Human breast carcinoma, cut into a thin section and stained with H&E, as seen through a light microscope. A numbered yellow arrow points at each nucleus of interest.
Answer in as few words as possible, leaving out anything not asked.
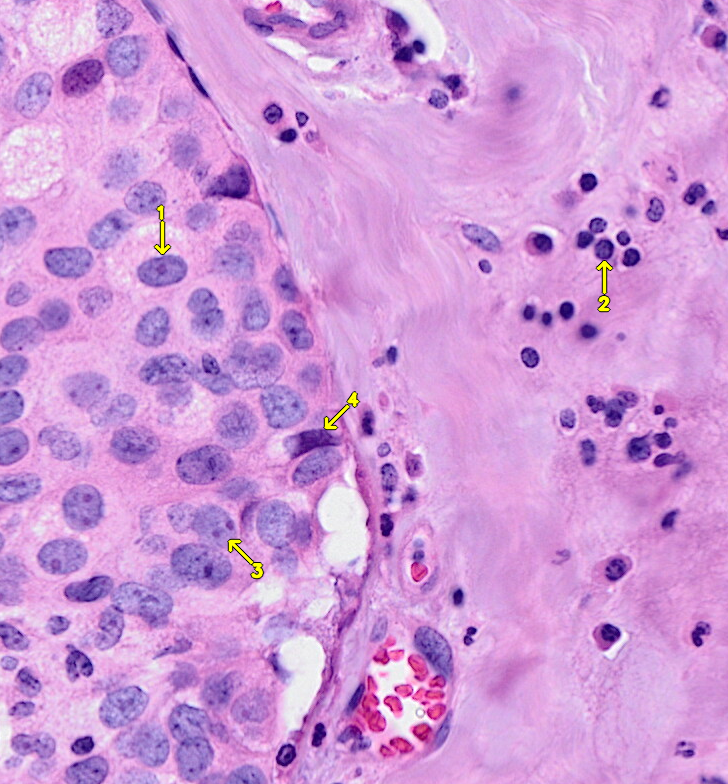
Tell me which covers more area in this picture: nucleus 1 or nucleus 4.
1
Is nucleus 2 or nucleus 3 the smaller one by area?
2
